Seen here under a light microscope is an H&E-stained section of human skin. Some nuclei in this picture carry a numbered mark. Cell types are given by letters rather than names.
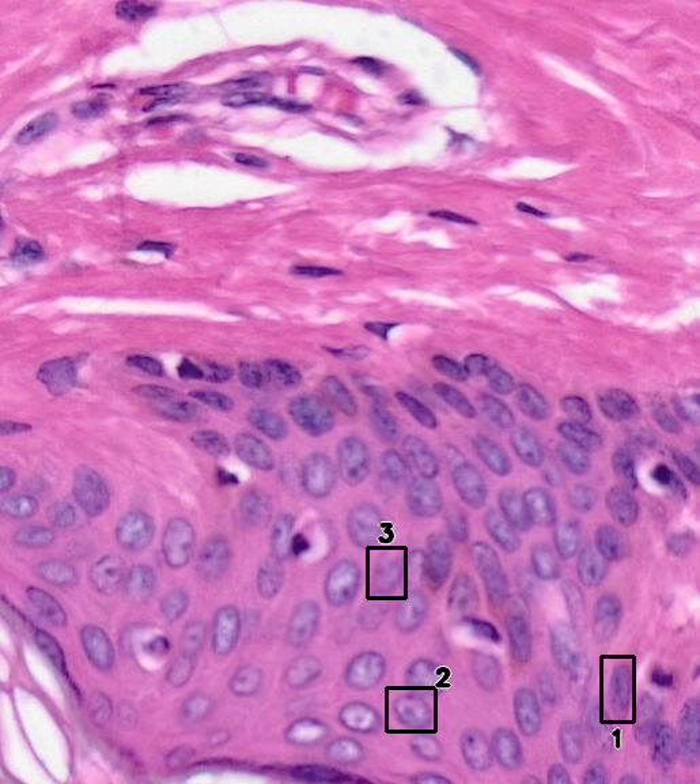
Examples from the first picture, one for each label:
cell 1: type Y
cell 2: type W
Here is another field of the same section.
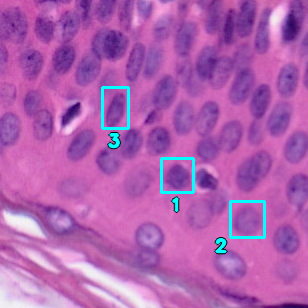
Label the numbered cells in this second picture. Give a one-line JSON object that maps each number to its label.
{"1": "type W", "2": "type W", "3": "type Y"}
